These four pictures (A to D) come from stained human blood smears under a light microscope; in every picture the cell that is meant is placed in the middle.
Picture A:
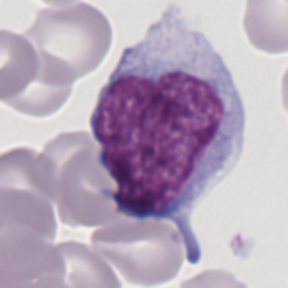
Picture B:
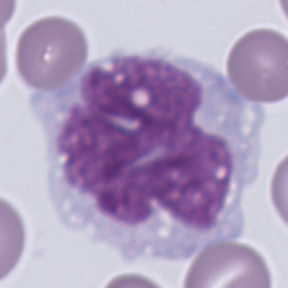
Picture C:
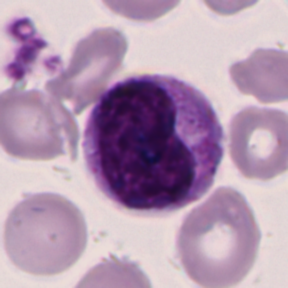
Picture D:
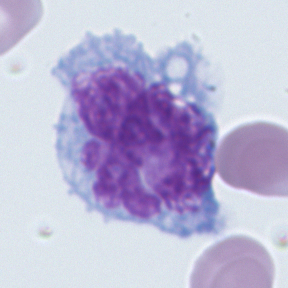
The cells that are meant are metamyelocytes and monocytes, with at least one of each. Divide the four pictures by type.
A: monocyte
B: monocyte
C: metamyelocyte
D: monocyte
